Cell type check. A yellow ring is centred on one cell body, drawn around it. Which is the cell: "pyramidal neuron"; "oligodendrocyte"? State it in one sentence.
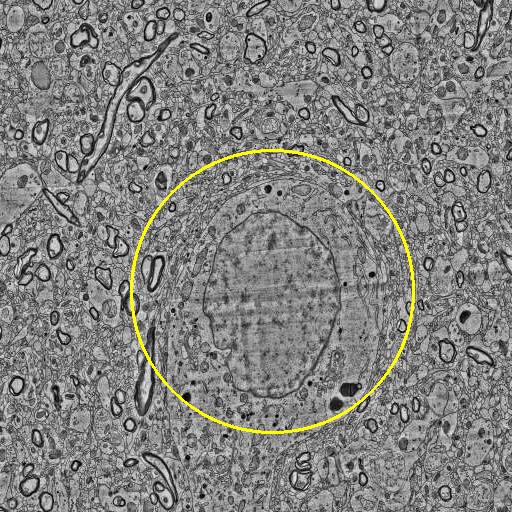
The cell body at the ring's centre belongs to a pyramidal neuron.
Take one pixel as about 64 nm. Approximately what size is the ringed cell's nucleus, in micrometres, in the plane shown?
About 12 by 9 micrometers for the nucleus, in this plane.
